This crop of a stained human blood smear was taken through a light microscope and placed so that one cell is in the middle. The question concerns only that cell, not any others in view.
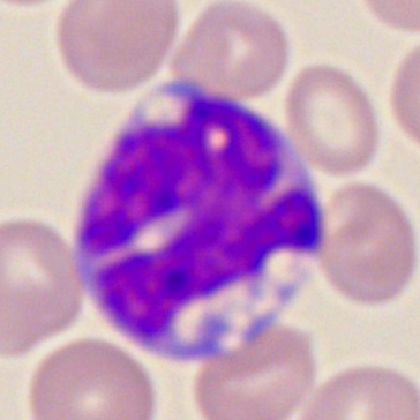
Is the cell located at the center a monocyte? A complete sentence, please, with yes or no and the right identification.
Yes, the cell that the crop is centered on is a monocyte.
